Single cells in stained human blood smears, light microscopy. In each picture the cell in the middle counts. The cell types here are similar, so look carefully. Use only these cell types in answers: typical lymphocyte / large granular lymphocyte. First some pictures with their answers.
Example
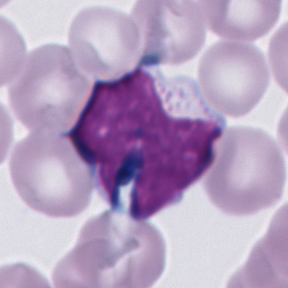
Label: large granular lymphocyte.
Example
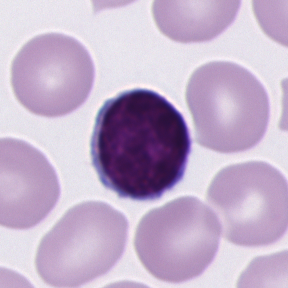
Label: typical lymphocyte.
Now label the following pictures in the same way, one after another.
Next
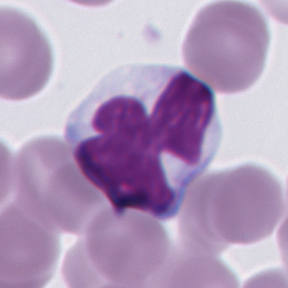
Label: large granular lymphocyte.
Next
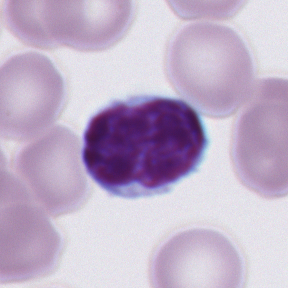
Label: typical lymphocyte.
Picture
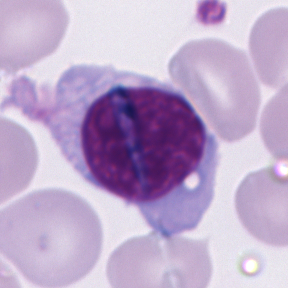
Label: typical lymphocyte.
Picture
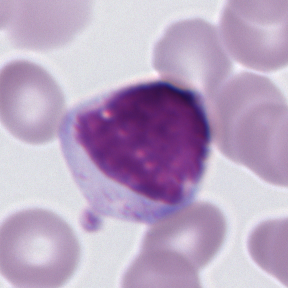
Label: large granular lymphocyte.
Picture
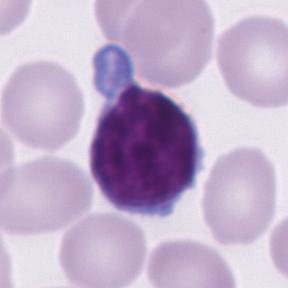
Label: typical lymphocyte.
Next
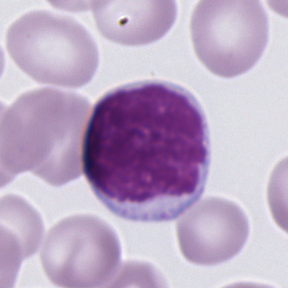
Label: large granular lymphocyte.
